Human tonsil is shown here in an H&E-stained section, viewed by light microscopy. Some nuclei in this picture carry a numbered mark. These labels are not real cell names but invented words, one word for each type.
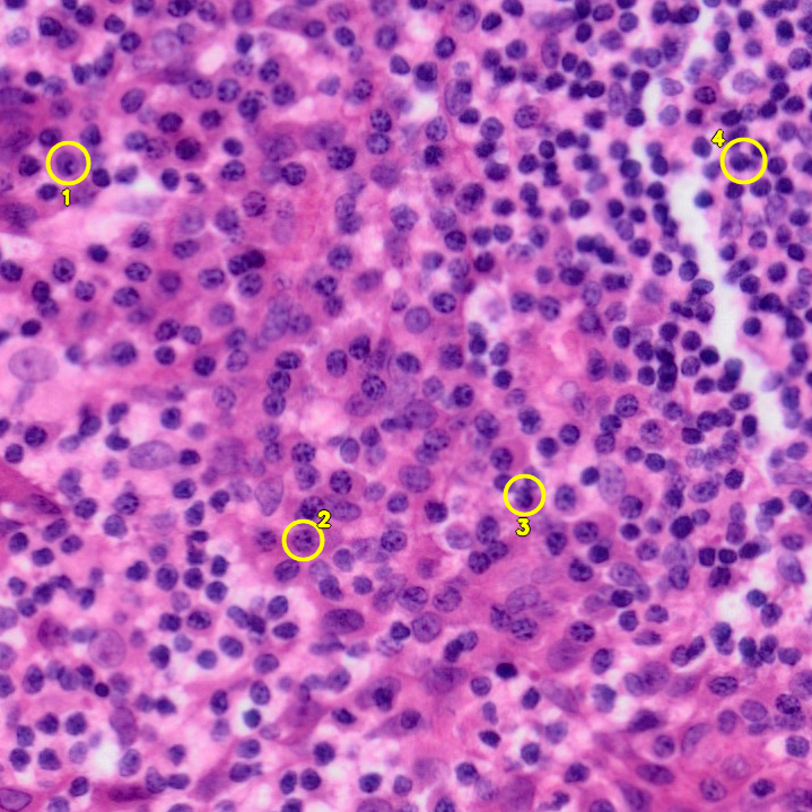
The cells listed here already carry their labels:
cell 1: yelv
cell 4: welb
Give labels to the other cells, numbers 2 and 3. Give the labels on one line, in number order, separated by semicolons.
yelv; yelv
